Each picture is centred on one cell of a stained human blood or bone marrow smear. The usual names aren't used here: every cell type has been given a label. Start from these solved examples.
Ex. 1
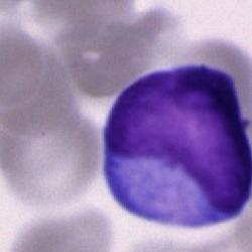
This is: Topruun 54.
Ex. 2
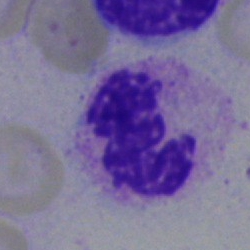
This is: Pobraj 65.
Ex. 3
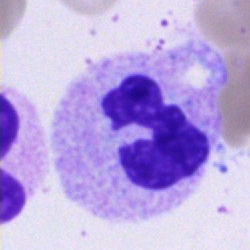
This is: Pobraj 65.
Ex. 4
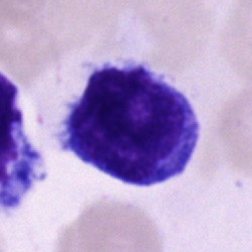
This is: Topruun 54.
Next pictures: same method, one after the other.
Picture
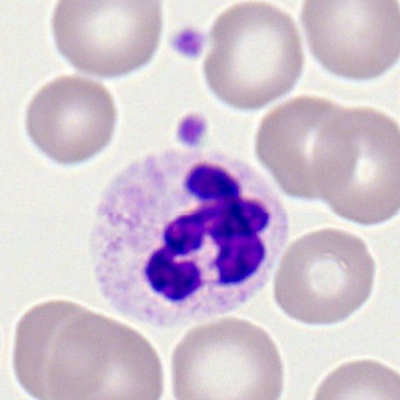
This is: Pobraj 65.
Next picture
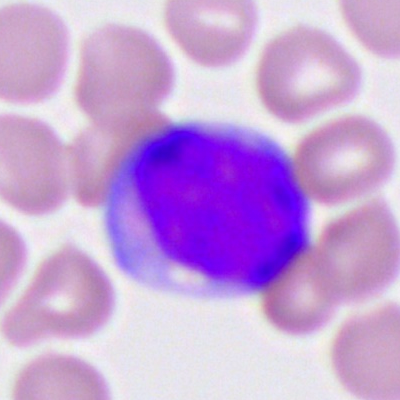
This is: Topruun 54.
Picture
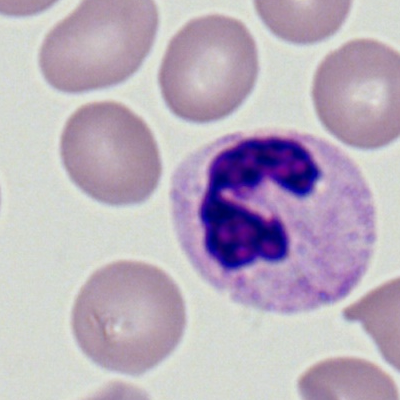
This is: Pobraj 65.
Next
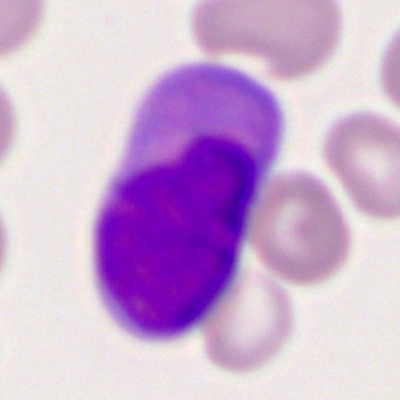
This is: Topruun 54.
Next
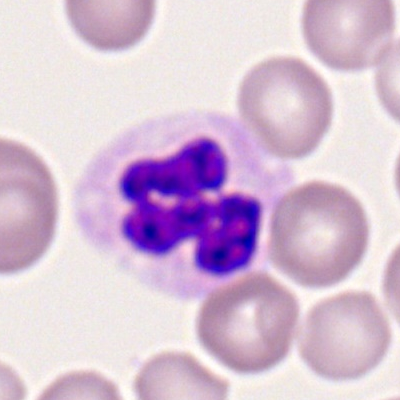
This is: Pobraj 65.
